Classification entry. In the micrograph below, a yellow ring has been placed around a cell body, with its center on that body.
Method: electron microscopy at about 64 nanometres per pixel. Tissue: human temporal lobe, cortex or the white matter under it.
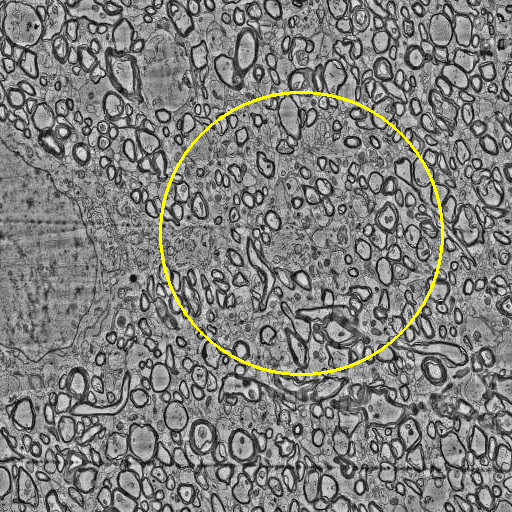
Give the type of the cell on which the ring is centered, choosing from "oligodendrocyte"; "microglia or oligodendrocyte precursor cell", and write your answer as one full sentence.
The cell body at the center of the yellow ring belongs to an oligodendrocyte.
